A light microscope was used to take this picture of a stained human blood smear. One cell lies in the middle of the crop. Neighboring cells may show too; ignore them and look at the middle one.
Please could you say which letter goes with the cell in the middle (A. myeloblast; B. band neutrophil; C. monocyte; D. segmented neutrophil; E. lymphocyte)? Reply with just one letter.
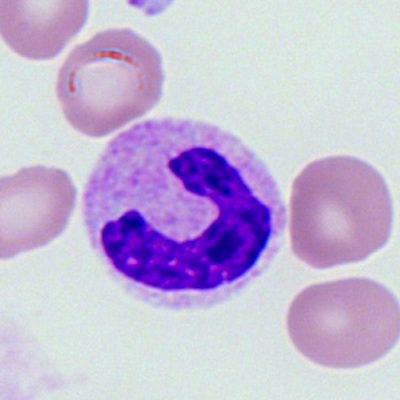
B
